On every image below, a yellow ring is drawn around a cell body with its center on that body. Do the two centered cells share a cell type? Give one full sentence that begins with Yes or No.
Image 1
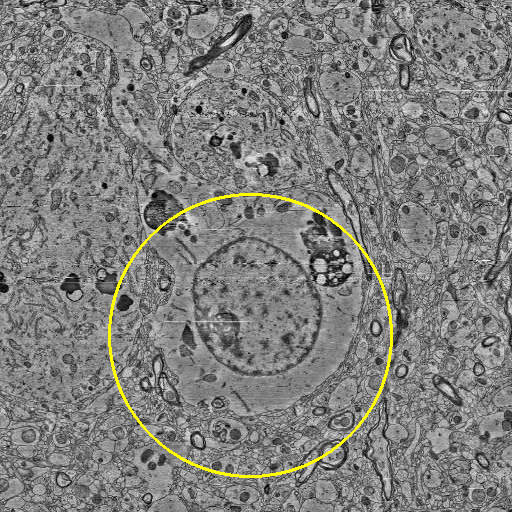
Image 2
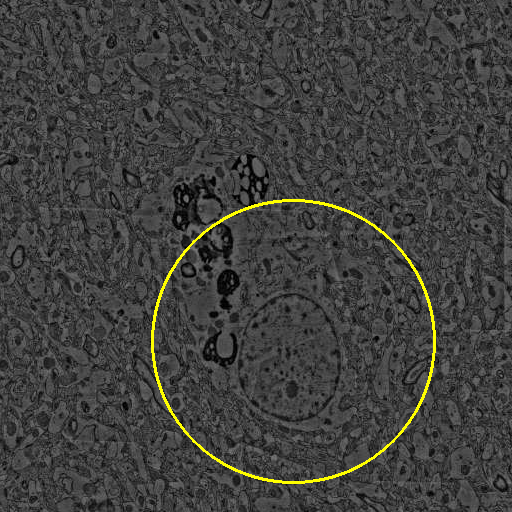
Yes, the centered cells in the two images are of a single cell type.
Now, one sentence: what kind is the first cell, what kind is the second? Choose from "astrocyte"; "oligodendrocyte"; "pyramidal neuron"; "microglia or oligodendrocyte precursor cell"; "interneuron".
The second cell is an astrocyte, just as the first is.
